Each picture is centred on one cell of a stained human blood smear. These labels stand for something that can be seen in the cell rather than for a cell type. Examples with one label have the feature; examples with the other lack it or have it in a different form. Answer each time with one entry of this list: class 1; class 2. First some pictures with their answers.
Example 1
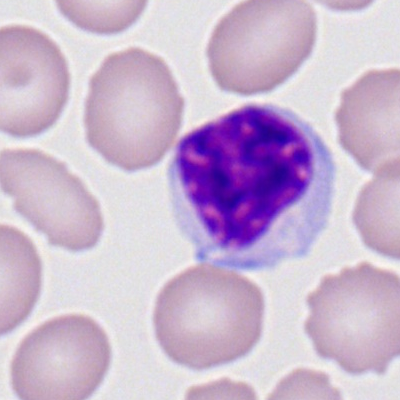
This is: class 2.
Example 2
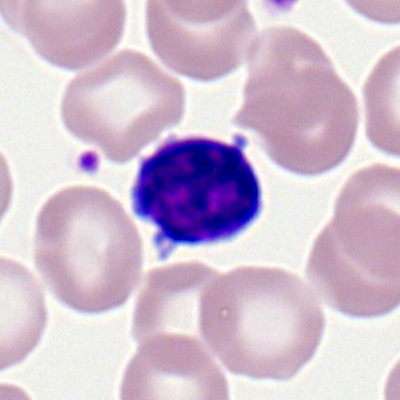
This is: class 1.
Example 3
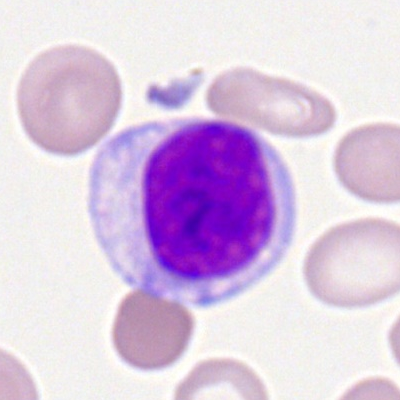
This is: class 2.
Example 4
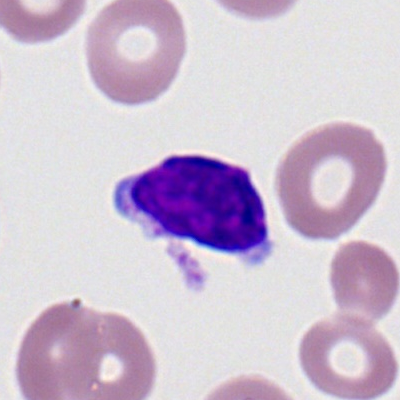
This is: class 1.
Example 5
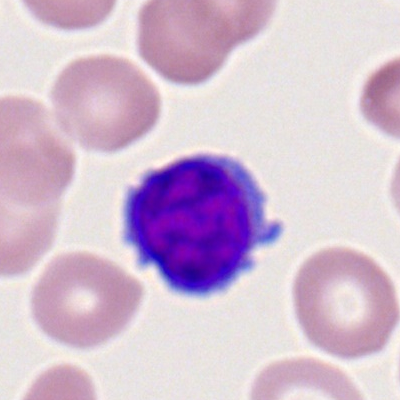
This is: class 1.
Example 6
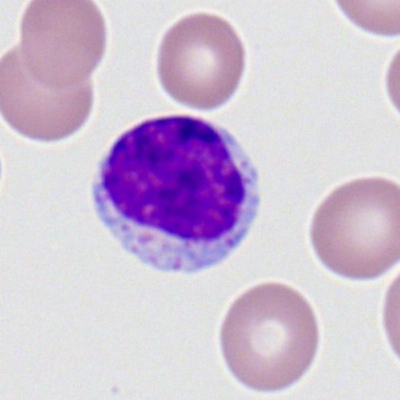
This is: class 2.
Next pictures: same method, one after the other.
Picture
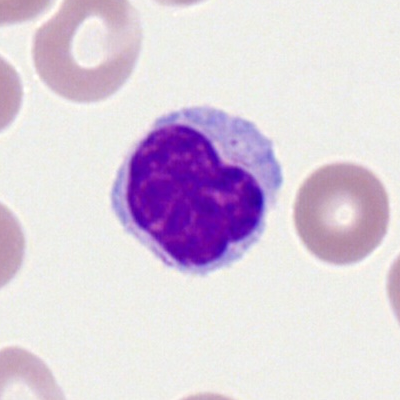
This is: class 1.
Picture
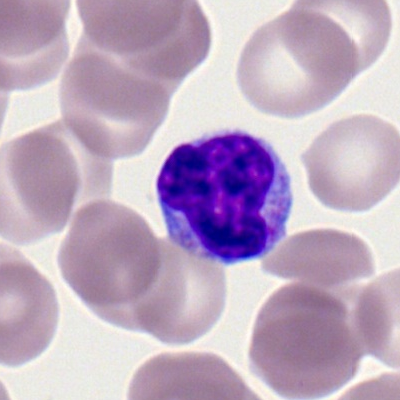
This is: class 2.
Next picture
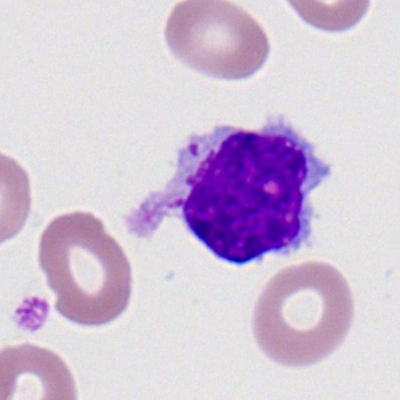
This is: class 1.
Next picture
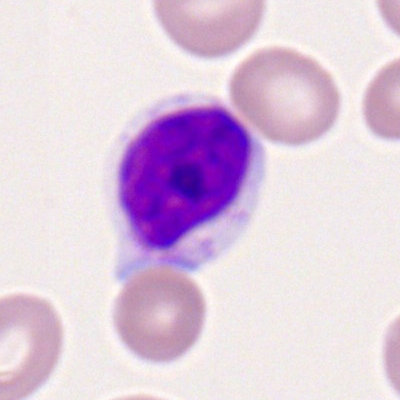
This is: class 1.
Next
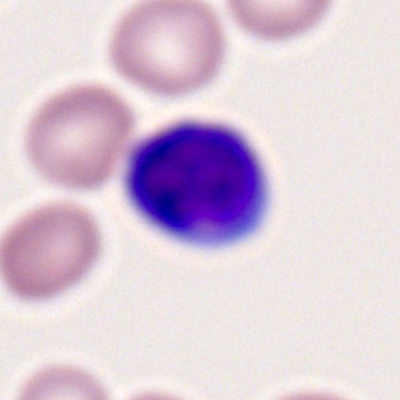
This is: class 2.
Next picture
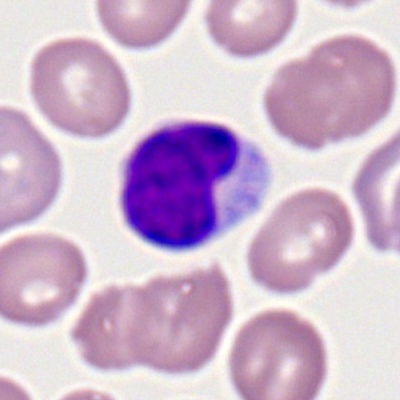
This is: class 2.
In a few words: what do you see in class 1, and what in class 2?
class 1: ragged outline or projections; class 2: smooth outline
